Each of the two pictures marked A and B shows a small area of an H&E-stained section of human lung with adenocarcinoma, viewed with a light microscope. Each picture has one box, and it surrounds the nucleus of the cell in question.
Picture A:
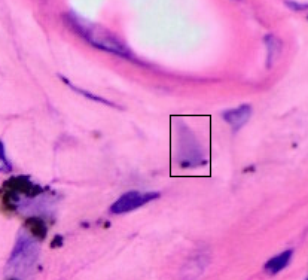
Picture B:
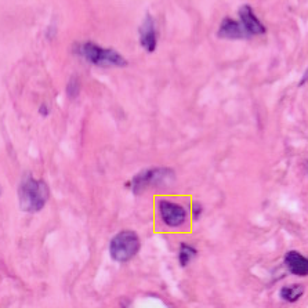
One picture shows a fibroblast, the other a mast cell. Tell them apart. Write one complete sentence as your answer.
Picture A shows a fibroblast and picture B shows a mast cell.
